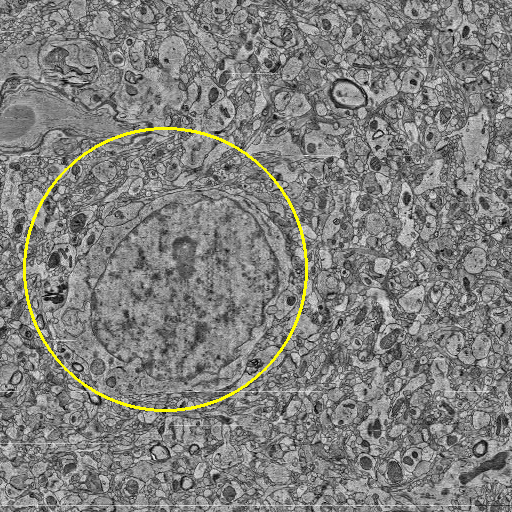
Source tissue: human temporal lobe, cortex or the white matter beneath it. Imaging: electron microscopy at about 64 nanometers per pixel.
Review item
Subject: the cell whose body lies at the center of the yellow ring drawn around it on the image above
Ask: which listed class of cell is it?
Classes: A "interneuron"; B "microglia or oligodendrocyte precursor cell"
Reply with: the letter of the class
A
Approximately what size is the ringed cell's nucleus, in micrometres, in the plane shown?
In this plane, the nucleus is roughly 13 by 11 micrometres.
